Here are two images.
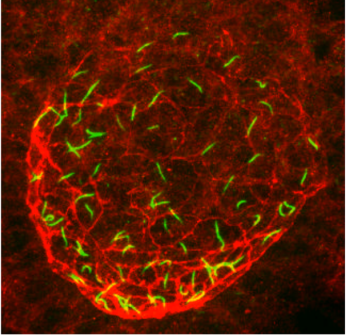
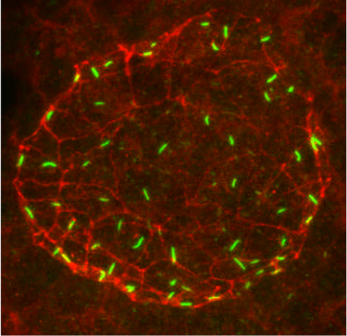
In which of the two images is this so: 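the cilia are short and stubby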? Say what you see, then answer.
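Second image: the green rods are short, straight dashes. First image: the green rods are longer and many are curved.
Hence: the second image.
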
